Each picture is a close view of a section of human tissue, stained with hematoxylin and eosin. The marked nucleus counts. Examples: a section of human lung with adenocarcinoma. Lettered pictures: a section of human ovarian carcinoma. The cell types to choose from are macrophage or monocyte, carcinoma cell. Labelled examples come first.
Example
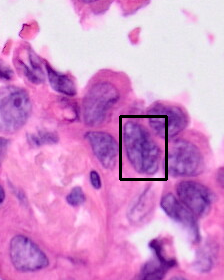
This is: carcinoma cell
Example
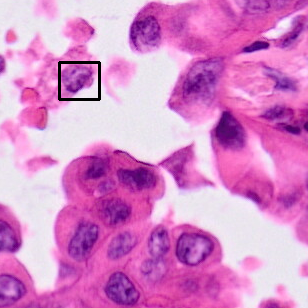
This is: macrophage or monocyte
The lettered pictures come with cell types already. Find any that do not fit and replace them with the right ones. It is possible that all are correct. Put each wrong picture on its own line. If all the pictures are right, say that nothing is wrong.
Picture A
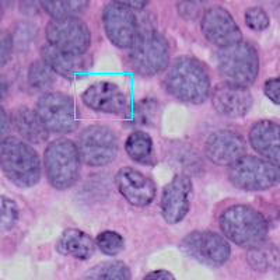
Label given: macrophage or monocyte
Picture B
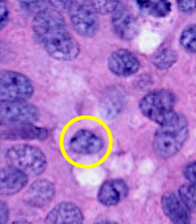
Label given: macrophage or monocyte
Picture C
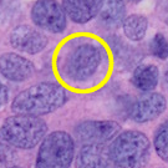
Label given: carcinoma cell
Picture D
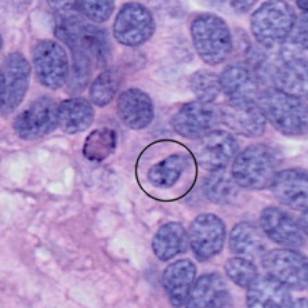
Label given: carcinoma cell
Wrong: D (carcinoma cell); correct: macrophage or monocyte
